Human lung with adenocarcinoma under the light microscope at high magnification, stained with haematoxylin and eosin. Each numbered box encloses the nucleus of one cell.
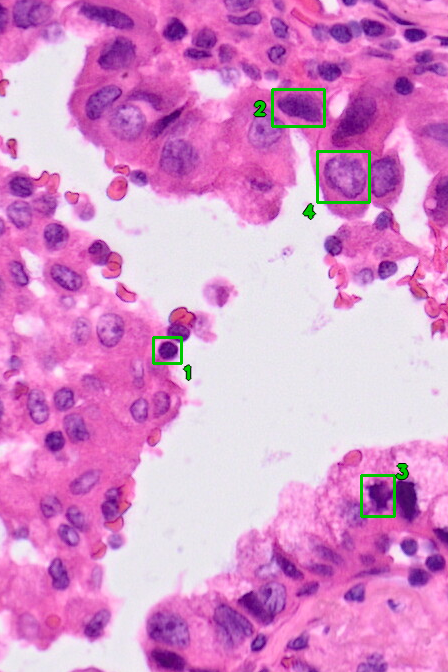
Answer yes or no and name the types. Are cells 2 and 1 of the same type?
No, cell 2 is a carcinoma cell, and as for cell 1, it is a lymphocyte.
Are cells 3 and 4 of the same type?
Yes, both cells 3 and 4 are carcinoma cells.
